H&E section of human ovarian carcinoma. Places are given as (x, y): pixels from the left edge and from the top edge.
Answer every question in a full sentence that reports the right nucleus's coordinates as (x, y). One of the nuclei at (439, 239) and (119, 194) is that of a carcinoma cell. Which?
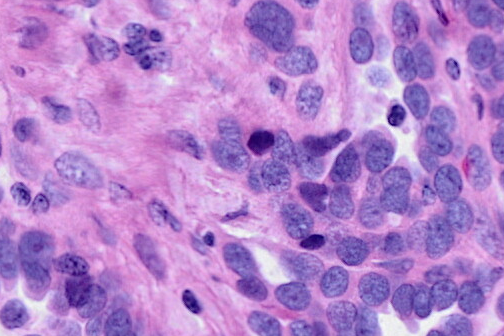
Which one belongs to a carcinoma cell? The nucleus at (439, 239) does.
